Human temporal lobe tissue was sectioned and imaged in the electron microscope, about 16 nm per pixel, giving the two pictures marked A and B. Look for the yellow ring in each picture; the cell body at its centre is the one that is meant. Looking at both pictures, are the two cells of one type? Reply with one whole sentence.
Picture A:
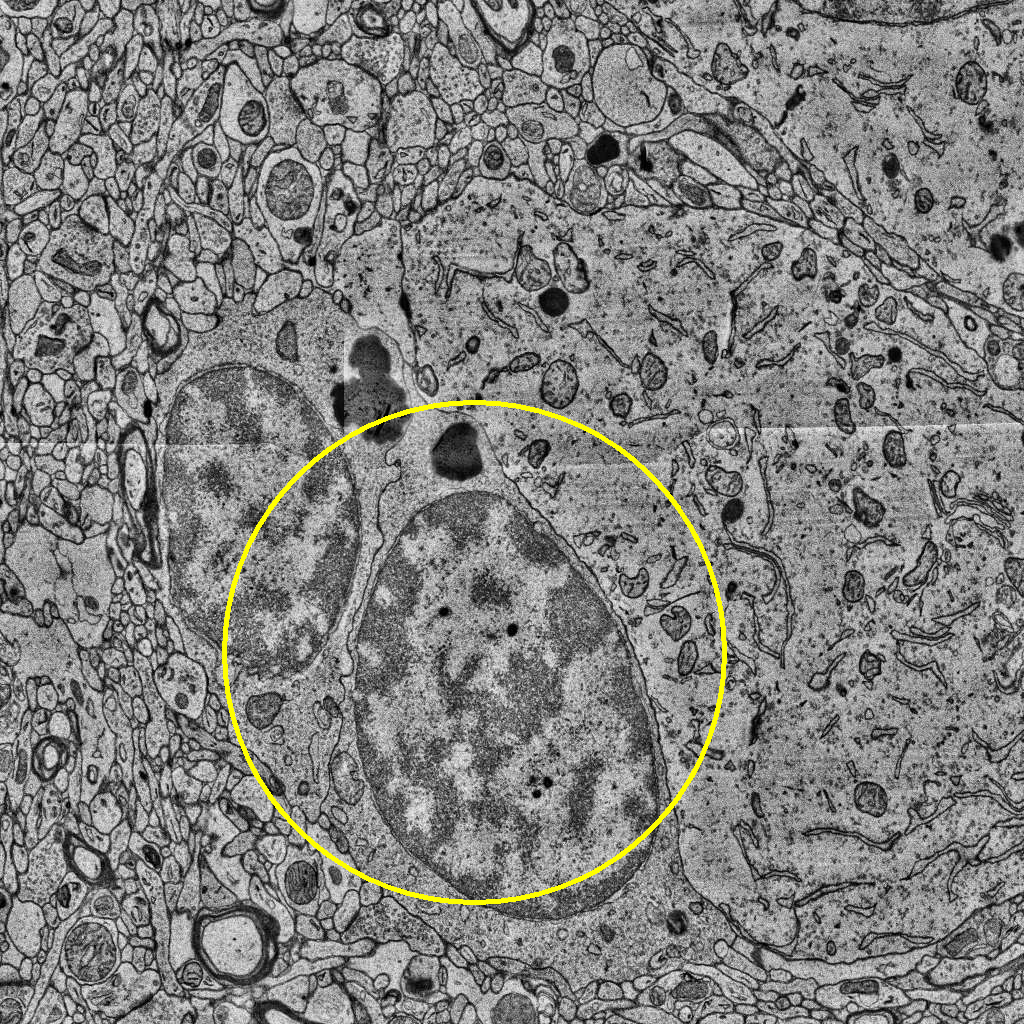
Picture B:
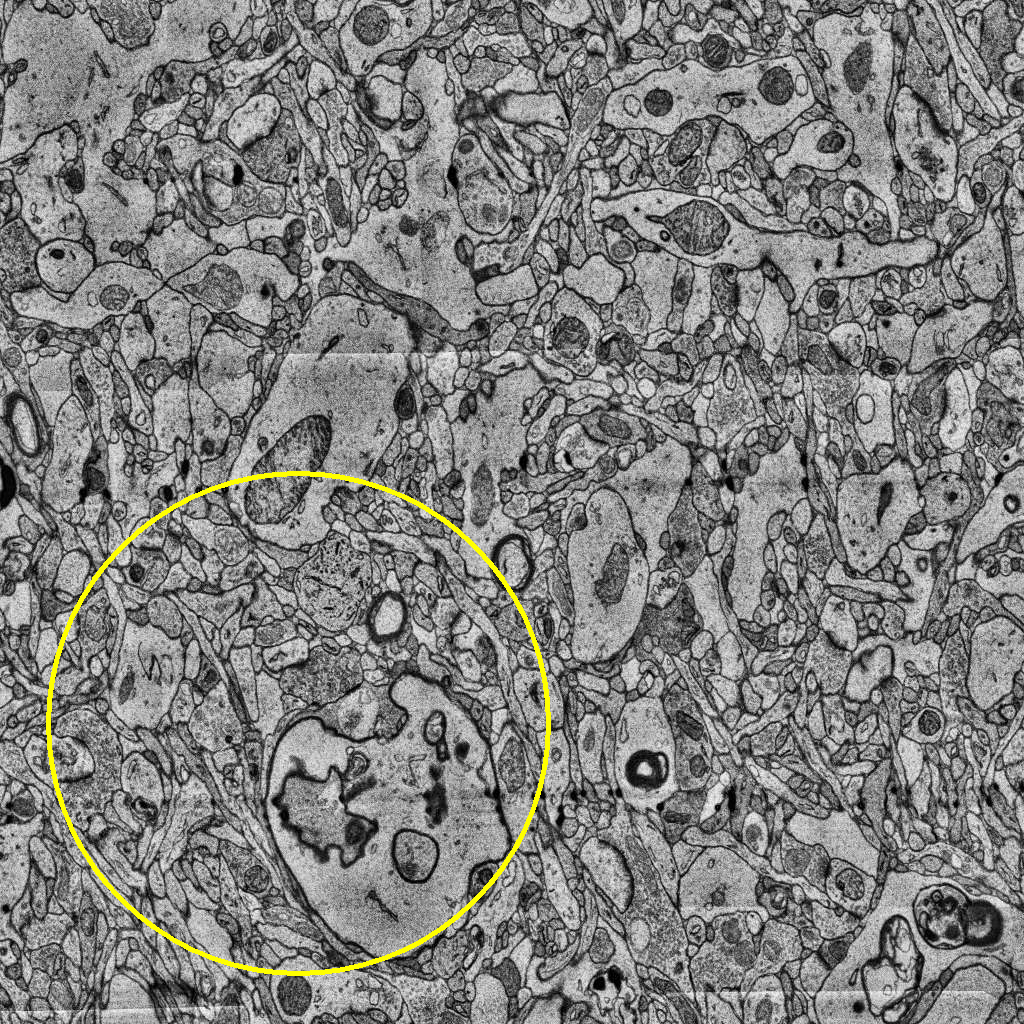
Yes, the two pictures both show oligodendrocytes.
